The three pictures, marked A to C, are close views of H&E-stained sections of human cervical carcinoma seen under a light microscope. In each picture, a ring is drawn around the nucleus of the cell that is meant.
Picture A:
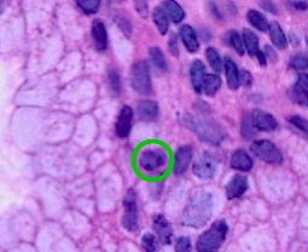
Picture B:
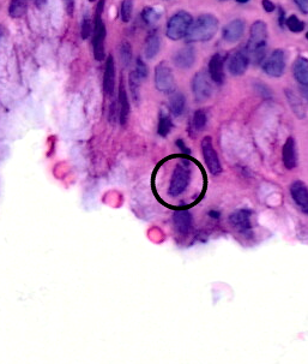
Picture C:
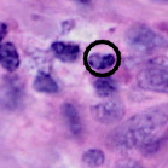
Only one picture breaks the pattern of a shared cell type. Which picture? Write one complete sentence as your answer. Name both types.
Picture C differs, because its cell is a lymphocyte and the rest are secretory epithelial cells.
